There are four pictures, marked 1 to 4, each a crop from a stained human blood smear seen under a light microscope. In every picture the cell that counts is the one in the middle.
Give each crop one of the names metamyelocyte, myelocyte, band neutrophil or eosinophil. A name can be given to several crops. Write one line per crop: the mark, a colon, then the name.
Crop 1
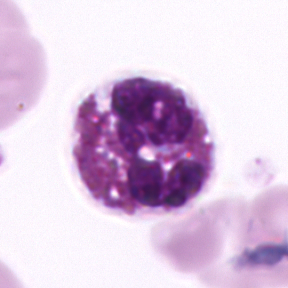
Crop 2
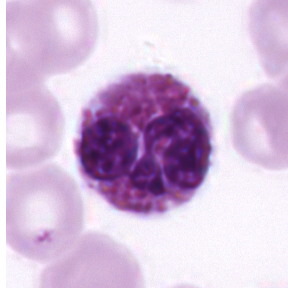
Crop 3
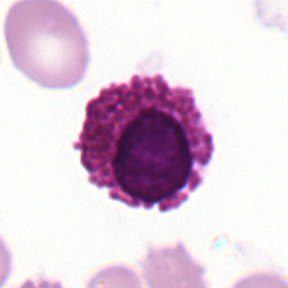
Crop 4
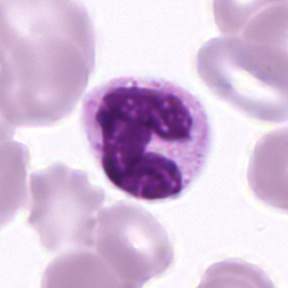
1: eosinophil
2: eosinophil
3: eosinophil
4: band neutrophil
